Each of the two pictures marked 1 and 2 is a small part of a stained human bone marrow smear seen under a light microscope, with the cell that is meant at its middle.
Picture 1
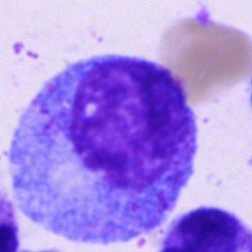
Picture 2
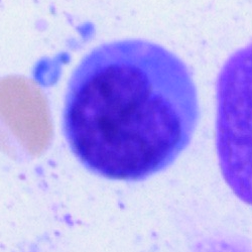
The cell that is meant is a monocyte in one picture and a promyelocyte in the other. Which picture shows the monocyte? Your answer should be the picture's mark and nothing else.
2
